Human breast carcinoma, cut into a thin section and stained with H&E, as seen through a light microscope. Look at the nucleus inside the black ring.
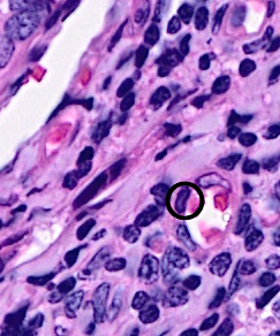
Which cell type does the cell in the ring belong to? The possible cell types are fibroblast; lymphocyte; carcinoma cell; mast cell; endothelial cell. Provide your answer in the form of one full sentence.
In cellular terms, the cell in the ring is an endothelial cell.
